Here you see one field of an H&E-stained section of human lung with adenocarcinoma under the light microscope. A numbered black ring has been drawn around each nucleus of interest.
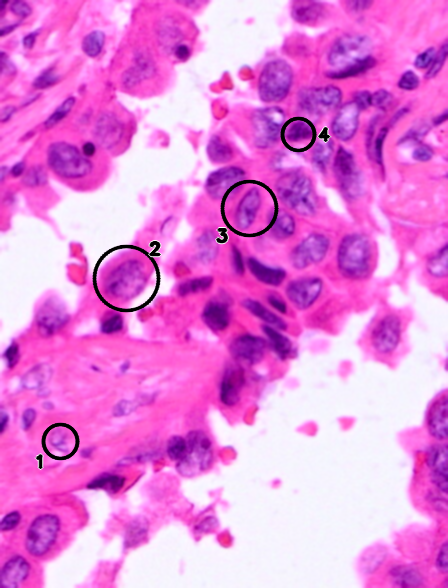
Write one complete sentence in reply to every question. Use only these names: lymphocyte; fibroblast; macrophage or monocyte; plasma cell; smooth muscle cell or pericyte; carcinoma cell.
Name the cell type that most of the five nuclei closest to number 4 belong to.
Carcinoma cells make up most of the five nuclei closest to number 4.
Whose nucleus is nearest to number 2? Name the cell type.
It is a plasma cell whose nucleus is nearest to number 2.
